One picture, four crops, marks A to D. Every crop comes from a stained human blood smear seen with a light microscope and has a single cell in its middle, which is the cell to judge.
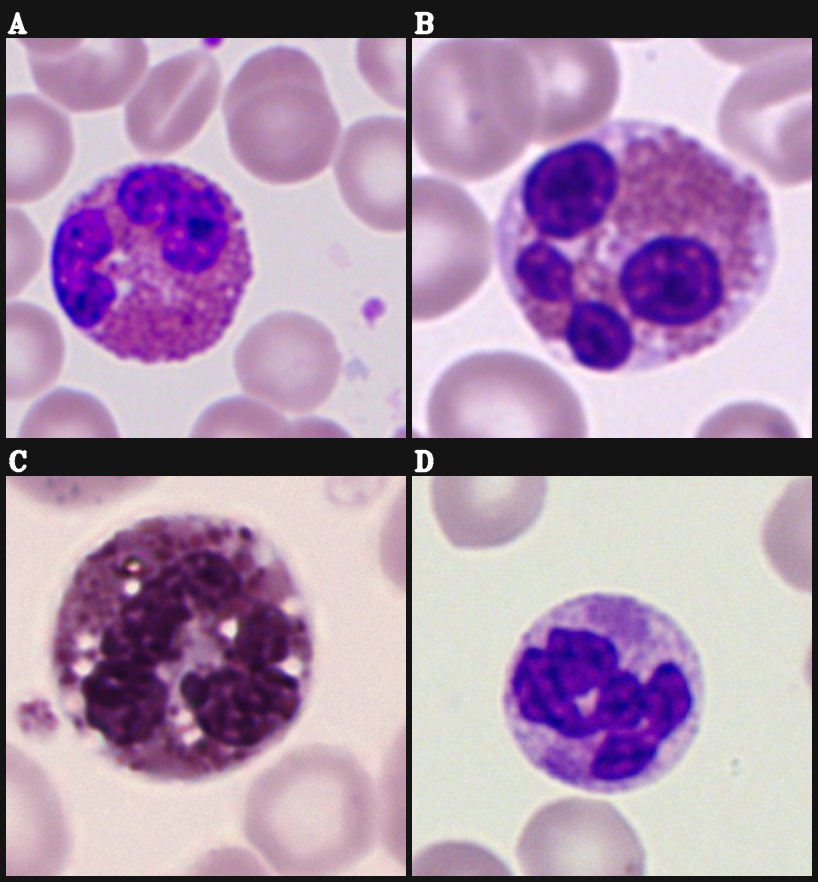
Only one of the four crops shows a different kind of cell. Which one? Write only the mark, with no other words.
D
